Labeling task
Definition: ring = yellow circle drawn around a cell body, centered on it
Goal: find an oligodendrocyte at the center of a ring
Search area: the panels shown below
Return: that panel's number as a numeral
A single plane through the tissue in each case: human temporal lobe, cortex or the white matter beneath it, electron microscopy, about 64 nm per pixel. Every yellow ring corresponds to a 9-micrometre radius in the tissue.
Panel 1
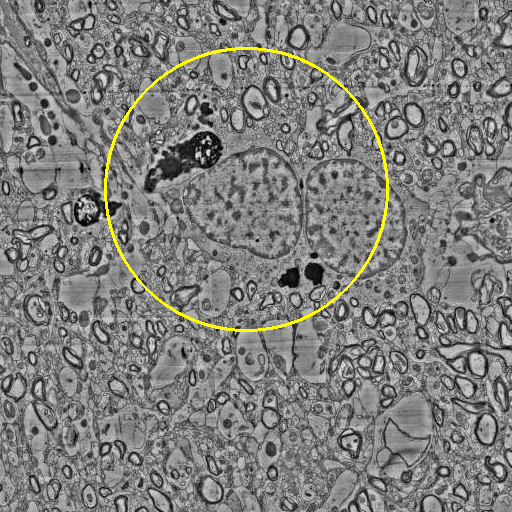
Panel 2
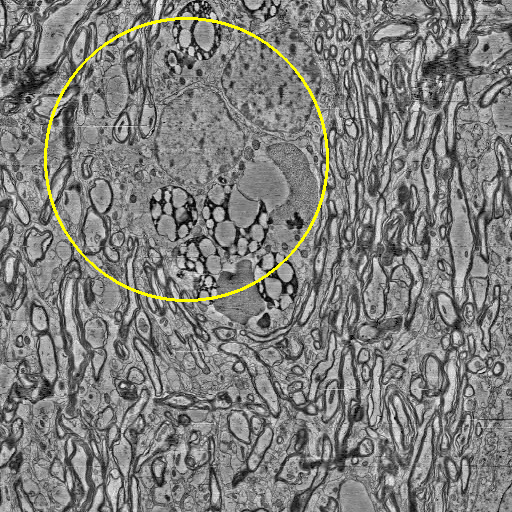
1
